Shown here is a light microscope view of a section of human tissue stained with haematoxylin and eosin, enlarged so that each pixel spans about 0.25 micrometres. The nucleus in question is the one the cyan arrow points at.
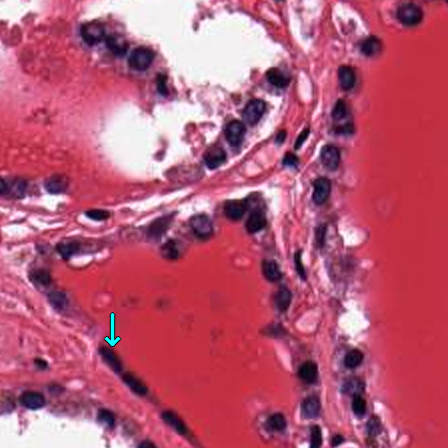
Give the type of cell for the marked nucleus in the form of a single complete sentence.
The marked nucleus belongs, in this picture, to a thyroid follicular cell.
